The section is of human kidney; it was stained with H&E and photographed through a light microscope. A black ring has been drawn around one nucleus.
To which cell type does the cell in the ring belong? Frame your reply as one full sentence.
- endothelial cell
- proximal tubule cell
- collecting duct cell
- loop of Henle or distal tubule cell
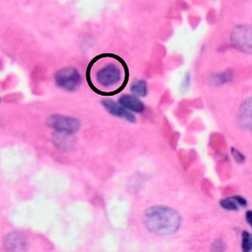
For cell typing purposes, the cell in the ring is a proximal tubule cell.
